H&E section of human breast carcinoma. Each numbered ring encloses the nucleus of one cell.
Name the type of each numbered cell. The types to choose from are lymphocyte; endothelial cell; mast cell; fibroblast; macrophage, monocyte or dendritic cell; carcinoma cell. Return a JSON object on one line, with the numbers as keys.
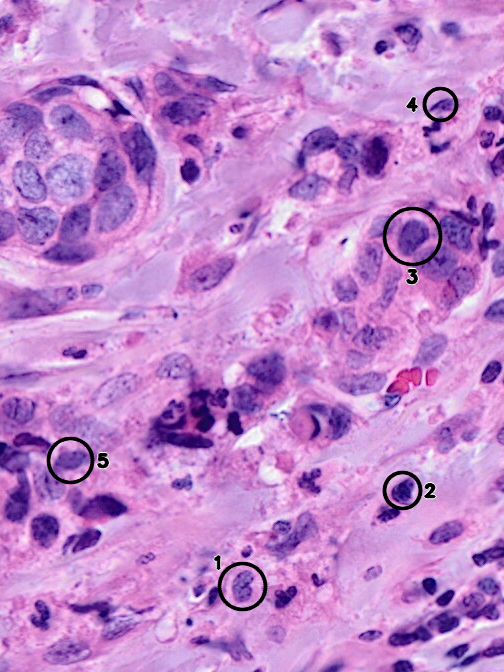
{"1": "mast cell", "2": "lymphocyte", "3": "carcinoma cell", "4": "fibroblast", "5": "carcinoma cell"}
